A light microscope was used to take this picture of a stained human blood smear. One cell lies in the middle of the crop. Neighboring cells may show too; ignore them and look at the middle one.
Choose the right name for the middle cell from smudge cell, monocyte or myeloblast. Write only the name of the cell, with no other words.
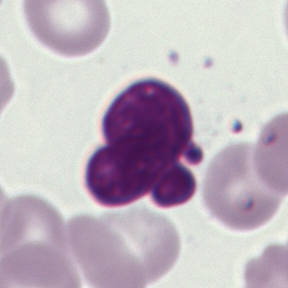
smudge cell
